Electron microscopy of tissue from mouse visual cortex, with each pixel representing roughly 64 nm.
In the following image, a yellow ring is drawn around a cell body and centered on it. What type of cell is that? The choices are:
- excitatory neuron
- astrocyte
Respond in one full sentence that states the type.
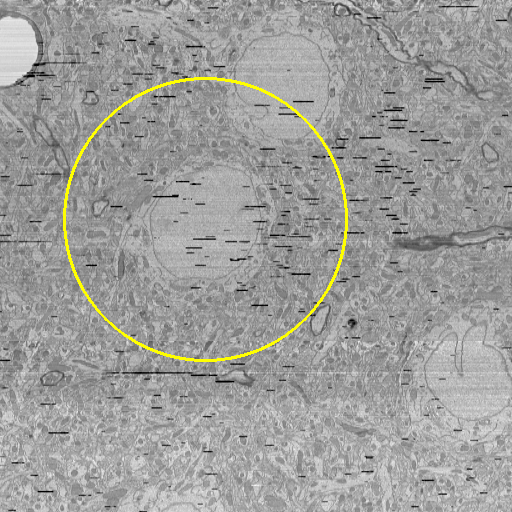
The cell at the center of the yellow ring in the image is an excitatory neuron.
